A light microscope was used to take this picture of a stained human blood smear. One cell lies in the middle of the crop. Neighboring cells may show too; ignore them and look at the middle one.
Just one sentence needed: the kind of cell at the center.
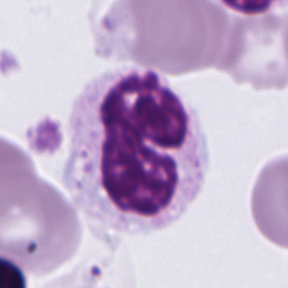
Here the centrally located cell is a band neutrophil.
